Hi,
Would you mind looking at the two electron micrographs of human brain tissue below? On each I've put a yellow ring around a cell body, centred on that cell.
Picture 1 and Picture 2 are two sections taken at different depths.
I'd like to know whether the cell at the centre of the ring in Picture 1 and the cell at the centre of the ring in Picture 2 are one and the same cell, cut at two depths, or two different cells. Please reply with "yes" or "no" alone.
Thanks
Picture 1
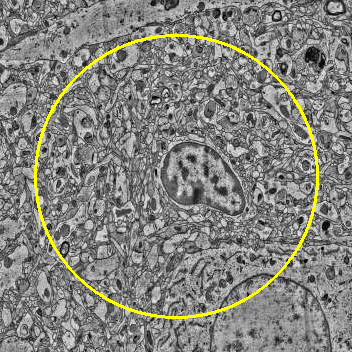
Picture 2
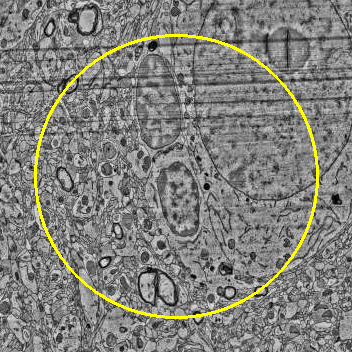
no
